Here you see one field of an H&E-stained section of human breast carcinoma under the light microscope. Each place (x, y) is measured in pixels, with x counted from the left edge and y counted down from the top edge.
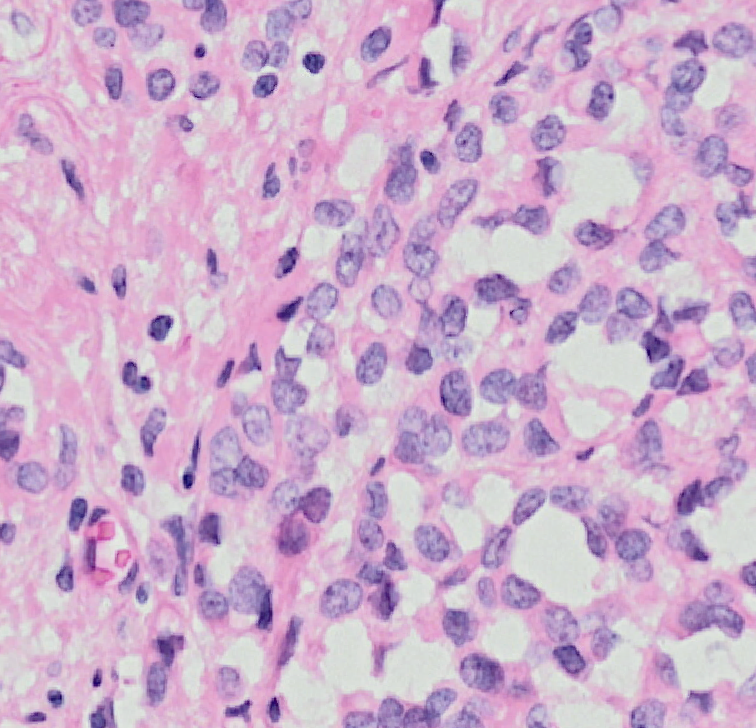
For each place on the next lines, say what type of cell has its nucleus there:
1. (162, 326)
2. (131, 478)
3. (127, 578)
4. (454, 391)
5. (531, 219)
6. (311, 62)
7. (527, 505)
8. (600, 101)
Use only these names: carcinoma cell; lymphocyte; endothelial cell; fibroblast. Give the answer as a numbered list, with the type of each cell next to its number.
1. lymphocyte
2. lymphocyte
3. endothelial cell
4. carcinoma cell
5. carcinoma cell
6. lymphocyte
7. carcinoma cell
8. carcinoma cell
